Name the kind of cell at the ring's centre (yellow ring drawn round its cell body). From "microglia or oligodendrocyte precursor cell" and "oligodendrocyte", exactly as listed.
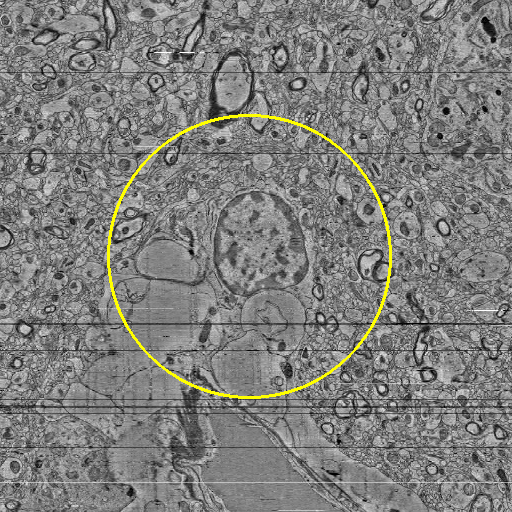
microglia or oligodendrocyte precursor cell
